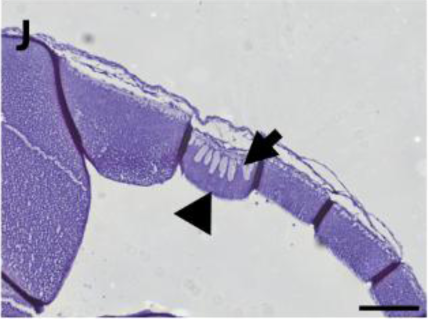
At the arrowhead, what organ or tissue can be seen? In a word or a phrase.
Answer: sub-commissural organ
